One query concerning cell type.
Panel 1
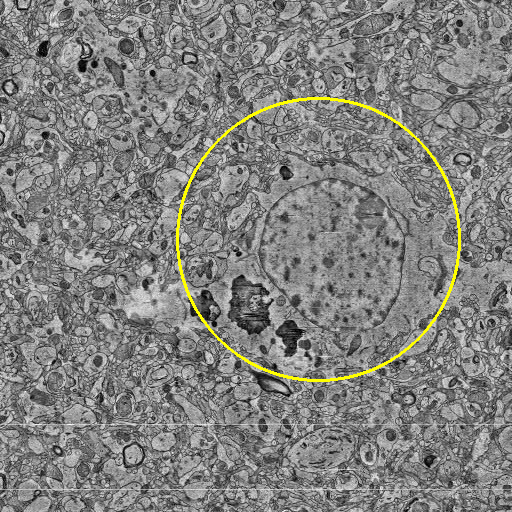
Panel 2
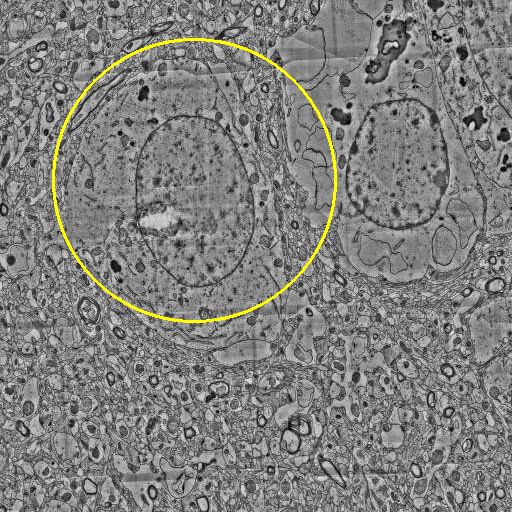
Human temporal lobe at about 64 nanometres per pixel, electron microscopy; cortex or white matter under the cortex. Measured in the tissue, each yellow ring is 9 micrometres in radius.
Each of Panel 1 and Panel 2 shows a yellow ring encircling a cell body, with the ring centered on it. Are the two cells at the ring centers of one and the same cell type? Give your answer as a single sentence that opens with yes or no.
No, the cell centered in Panel 1 and the one in Panel 2 are of two types.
